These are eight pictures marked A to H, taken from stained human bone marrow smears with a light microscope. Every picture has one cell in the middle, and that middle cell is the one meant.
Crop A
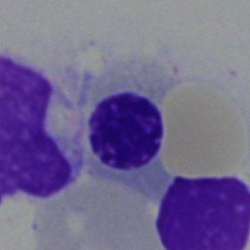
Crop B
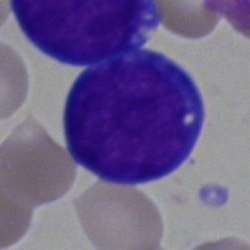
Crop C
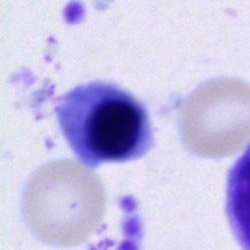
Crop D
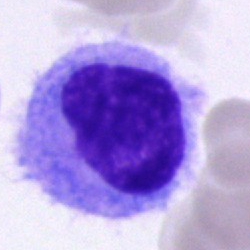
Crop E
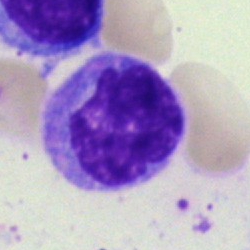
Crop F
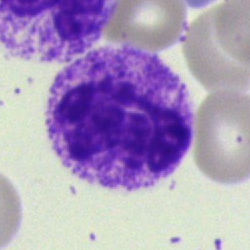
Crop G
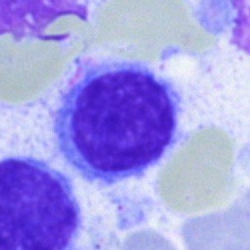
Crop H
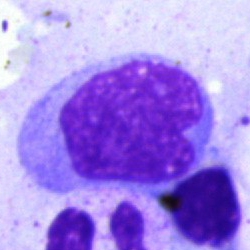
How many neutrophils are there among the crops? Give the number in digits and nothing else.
1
